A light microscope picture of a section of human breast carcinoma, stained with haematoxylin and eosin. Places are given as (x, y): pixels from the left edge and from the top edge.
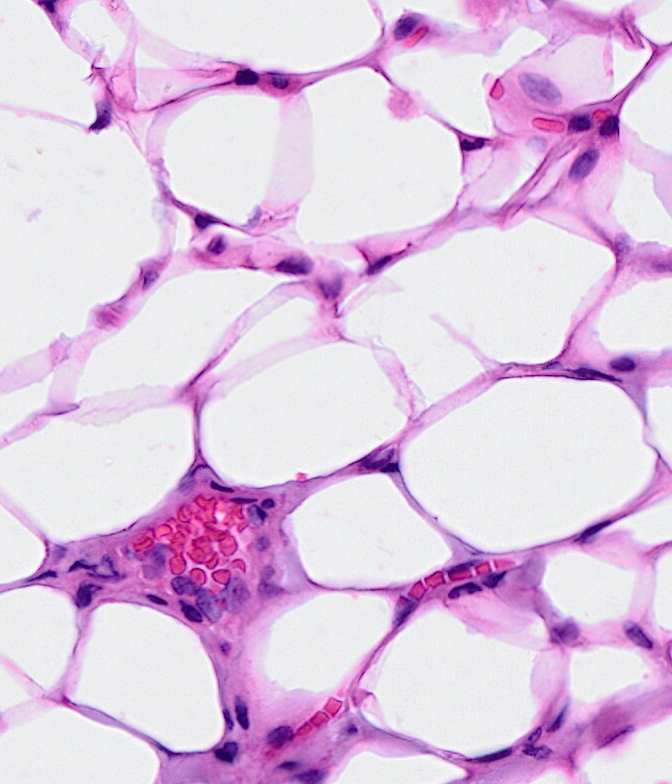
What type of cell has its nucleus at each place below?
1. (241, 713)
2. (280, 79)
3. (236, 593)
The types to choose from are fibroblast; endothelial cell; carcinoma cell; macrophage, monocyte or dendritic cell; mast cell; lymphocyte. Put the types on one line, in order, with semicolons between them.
fibroblast; mast cell; endothelial cell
